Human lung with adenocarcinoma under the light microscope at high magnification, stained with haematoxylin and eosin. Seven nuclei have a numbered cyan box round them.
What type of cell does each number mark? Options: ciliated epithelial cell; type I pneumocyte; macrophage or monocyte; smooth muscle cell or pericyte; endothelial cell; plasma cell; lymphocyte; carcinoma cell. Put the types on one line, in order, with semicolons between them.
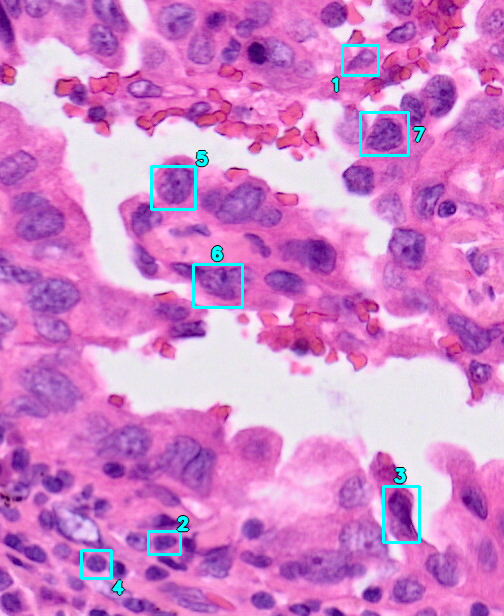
macrophage or monocyte; lymphocyte; carcinoma cell; lymphocyte; carcinoma cell; carcinoma cell; carcinoma cell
